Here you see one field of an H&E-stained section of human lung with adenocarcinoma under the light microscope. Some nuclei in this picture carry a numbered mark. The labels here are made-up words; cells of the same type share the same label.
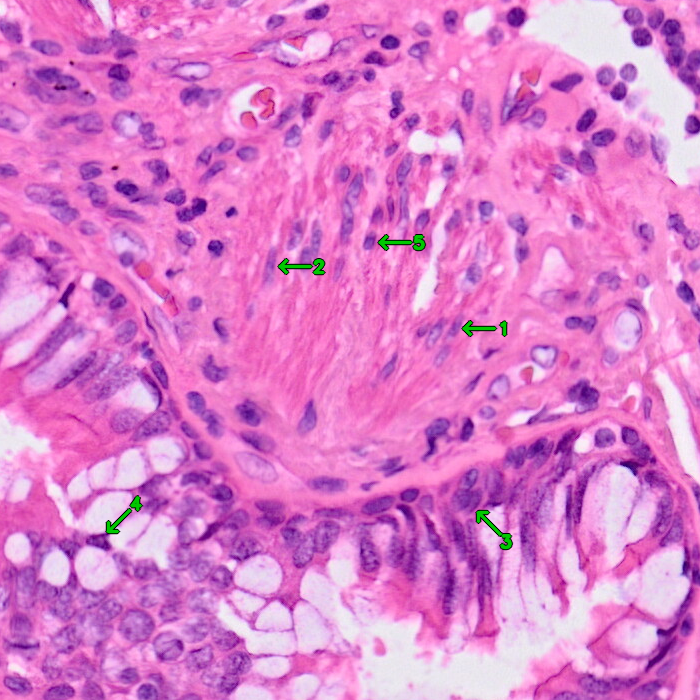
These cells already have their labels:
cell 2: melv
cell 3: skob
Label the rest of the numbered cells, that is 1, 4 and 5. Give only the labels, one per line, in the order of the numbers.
melv
skob
melv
